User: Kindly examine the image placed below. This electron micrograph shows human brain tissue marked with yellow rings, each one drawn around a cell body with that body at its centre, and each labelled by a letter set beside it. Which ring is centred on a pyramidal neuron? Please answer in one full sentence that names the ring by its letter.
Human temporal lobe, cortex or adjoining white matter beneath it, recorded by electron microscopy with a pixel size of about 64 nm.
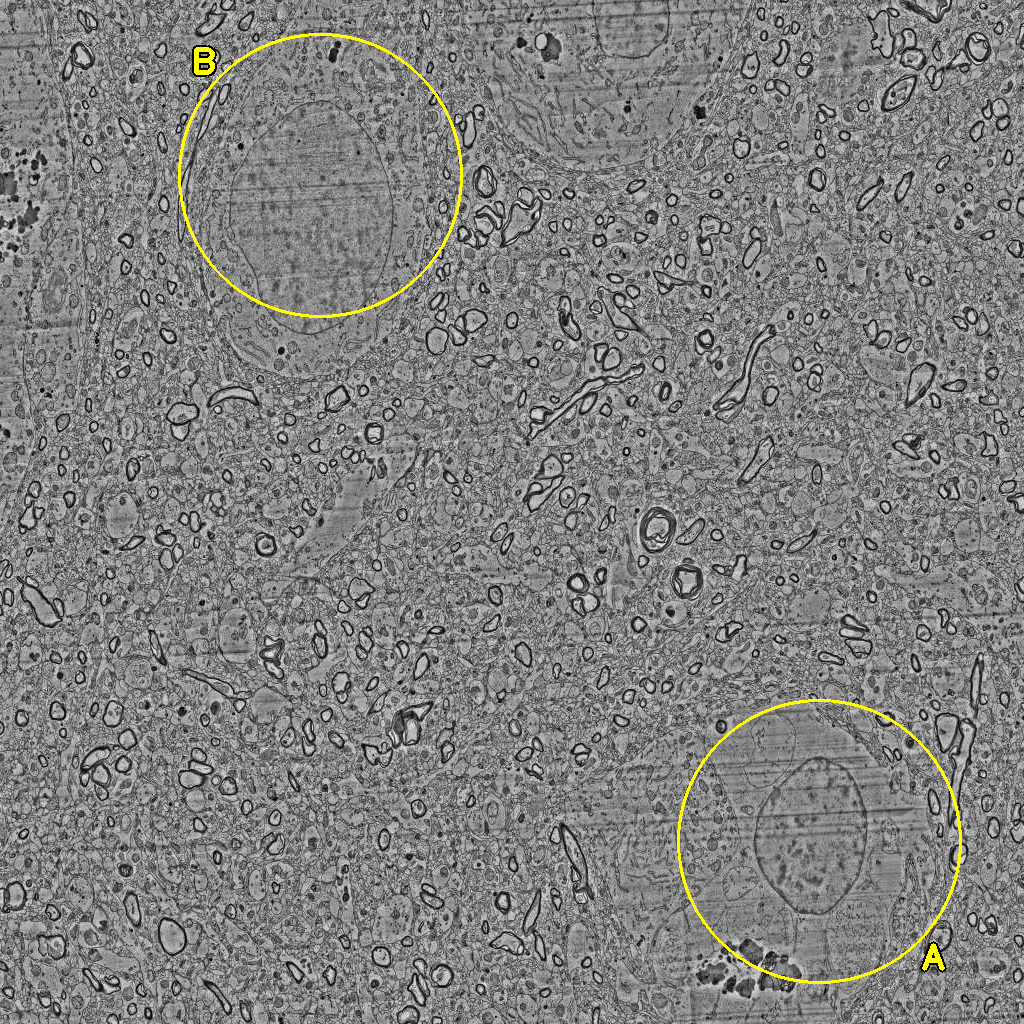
Ring B is the one drawn around the cell asked for.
